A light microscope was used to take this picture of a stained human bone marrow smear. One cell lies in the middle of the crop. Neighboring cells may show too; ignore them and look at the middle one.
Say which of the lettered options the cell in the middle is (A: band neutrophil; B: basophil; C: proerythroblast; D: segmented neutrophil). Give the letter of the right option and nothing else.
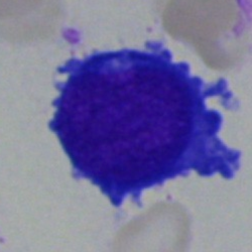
C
